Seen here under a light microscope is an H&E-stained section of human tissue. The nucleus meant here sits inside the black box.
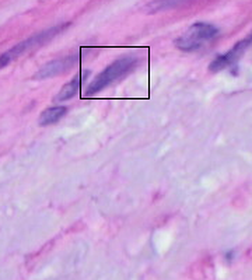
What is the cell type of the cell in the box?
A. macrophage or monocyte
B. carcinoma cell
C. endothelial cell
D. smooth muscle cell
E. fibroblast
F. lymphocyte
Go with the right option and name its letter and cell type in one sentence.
Of the options offered, D is correct, as the cell in the box is a smooth muscle cell.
